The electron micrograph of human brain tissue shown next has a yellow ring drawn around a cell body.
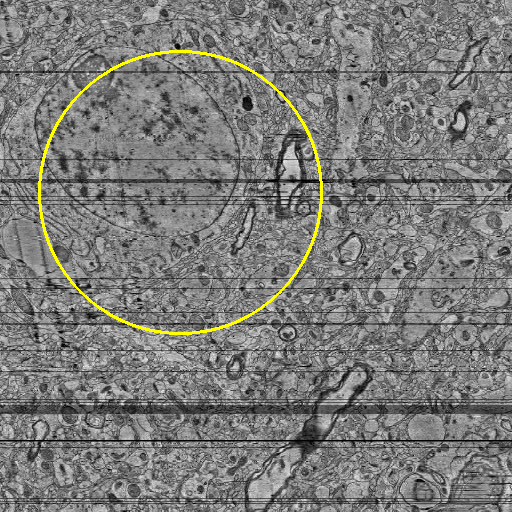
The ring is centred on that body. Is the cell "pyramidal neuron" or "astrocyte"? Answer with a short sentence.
The cell in question is a pyramidal neuron.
